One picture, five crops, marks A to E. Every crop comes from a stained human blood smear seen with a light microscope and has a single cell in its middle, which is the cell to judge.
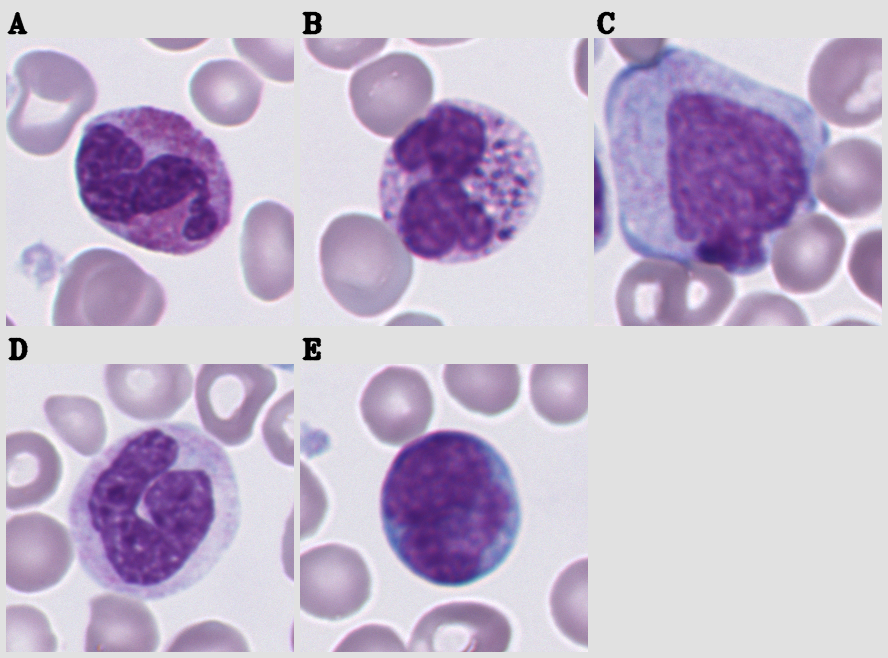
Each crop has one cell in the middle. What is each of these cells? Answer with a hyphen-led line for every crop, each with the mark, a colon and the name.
- A: eosinophil
- B: basophil
- C: promyelocyte
- D: band neutrophil
- E: blast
